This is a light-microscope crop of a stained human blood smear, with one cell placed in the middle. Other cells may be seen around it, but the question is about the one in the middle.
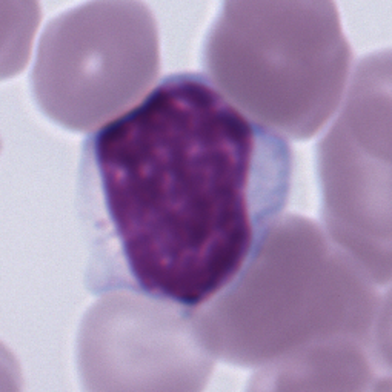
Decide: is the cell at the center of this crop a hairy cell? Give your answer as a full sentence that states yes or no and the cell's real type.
No, rather than a hairy cell, the central cell is a large granular lymphocyte.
